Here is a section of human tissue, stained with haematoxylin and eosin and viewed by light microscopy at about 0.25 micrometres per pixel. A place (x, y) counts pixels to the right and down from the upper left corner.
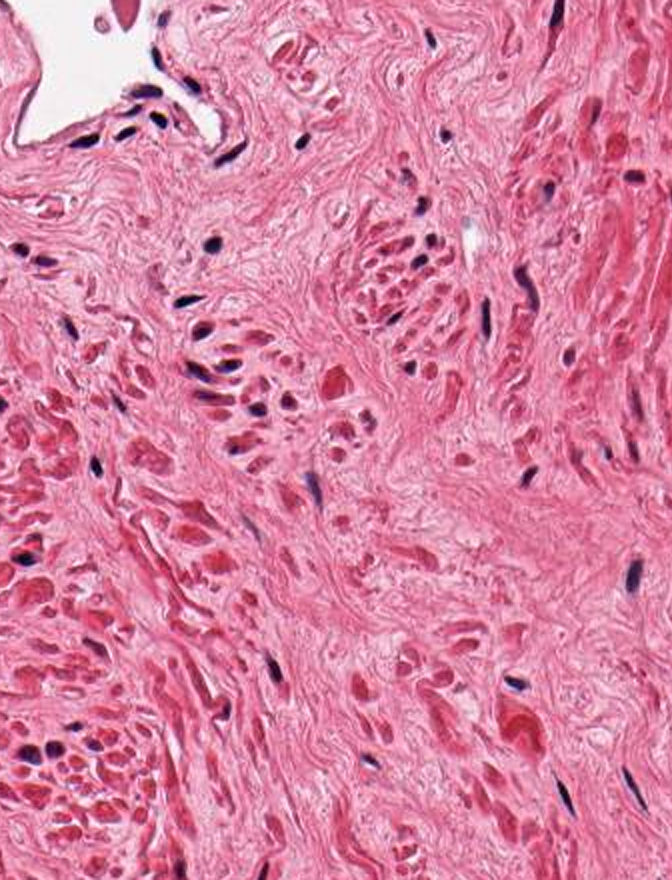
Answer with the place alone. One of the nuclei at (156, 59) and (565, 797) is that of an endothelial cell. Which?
(156, 59)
